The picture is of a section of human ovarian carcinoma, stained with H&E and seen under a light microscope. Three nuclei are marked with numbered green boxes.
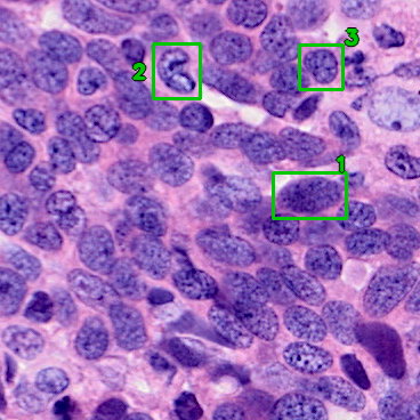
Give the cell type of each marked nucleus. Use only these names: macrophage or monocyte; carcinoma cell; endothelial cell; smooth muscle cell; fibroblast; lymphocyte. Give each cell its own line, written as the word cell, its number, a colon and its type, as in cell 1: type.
cell 1: carcinoma cell
cell 2: macrophage or monocyte
cell 3: carcinoma cell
